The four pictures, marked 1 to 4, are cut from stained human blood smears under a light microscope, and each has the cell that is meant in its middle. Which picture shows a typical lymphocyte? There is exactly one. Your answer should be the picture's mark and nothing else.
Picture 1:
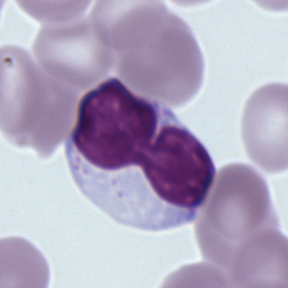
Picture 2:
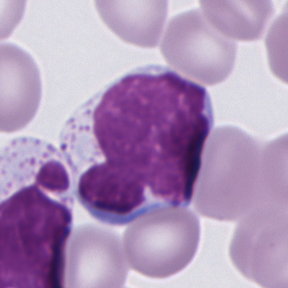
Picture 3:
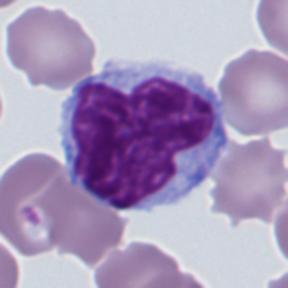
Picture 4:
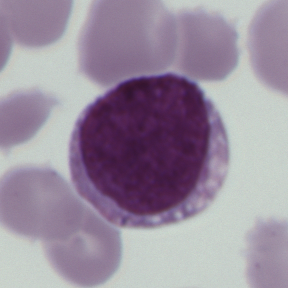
3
